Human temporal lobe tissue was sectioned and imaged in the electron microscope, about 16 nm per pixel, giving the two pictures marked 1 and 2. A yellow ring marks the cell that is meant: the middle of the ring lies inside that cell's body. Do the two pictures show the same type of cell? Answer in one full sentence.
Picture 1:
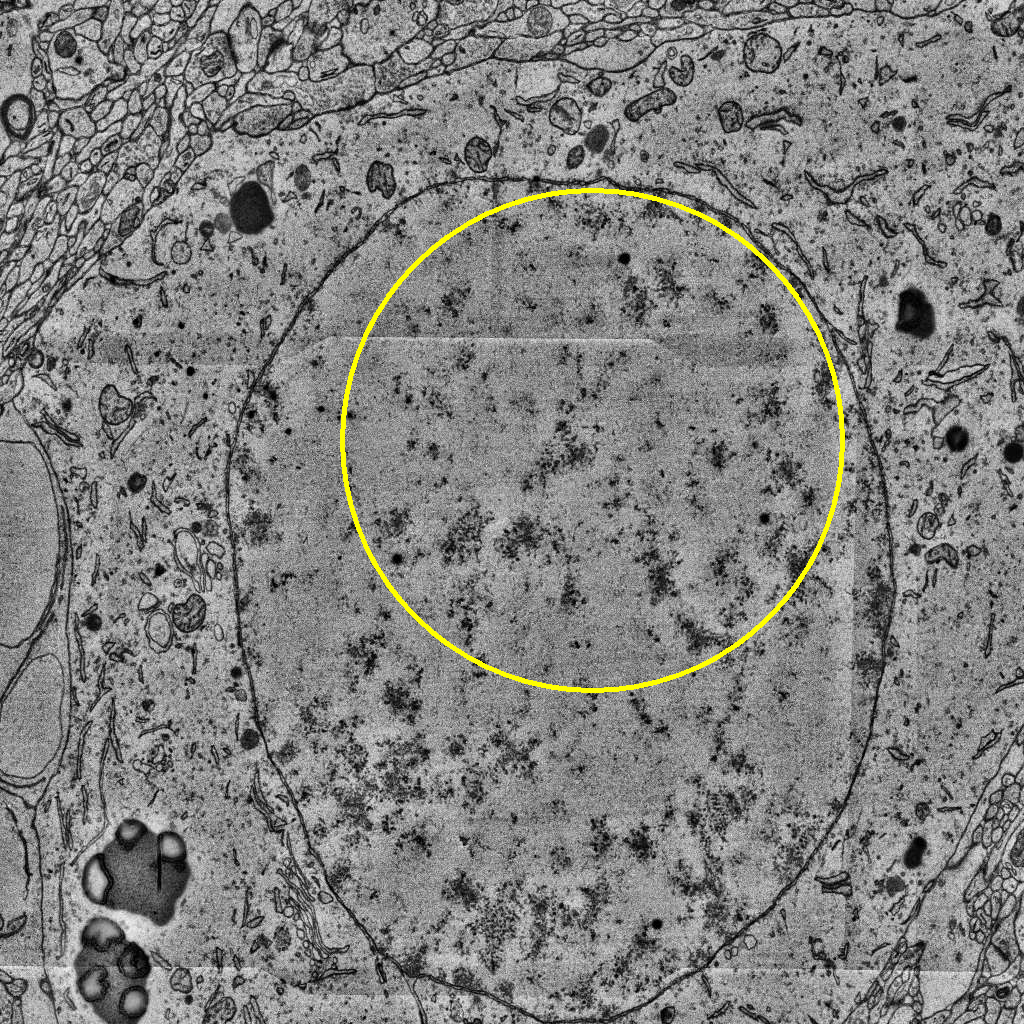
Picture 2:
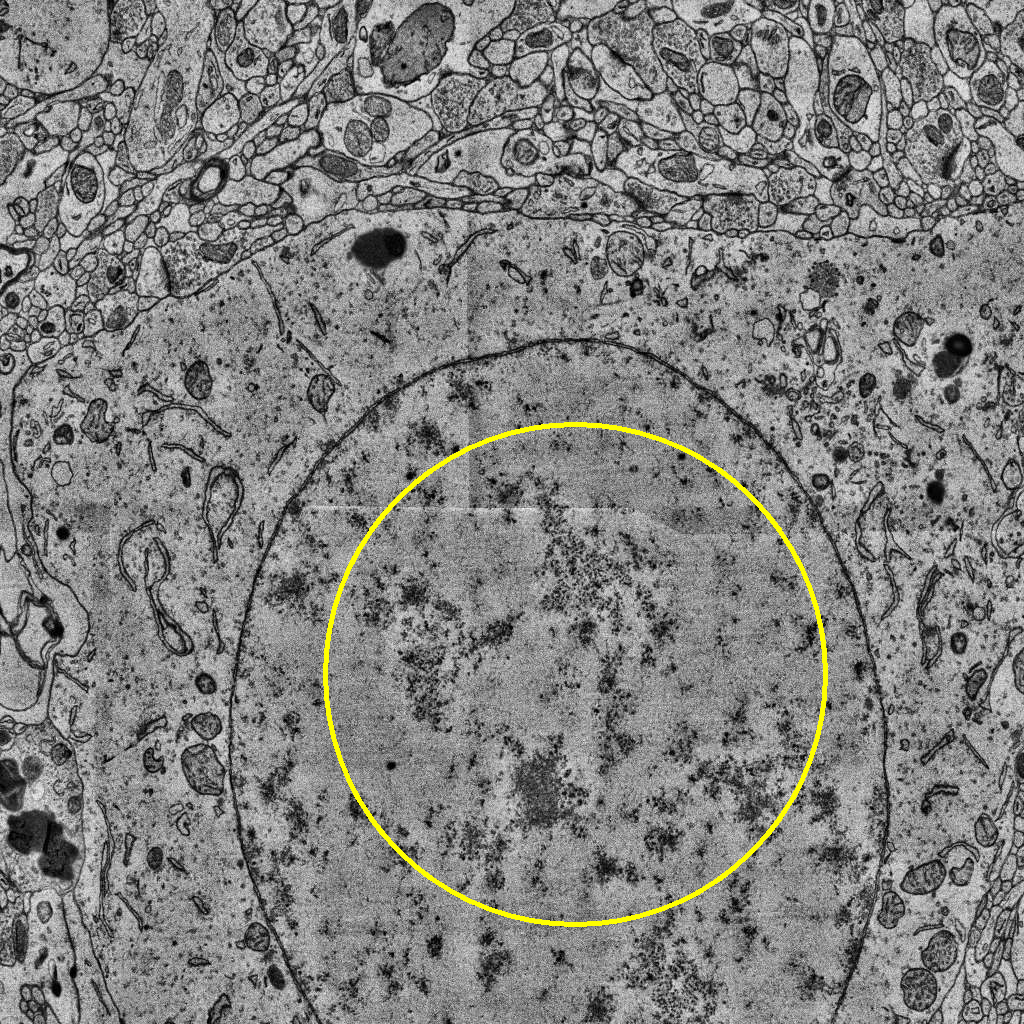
Yes, the two pictures both show pyramidal neurons.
